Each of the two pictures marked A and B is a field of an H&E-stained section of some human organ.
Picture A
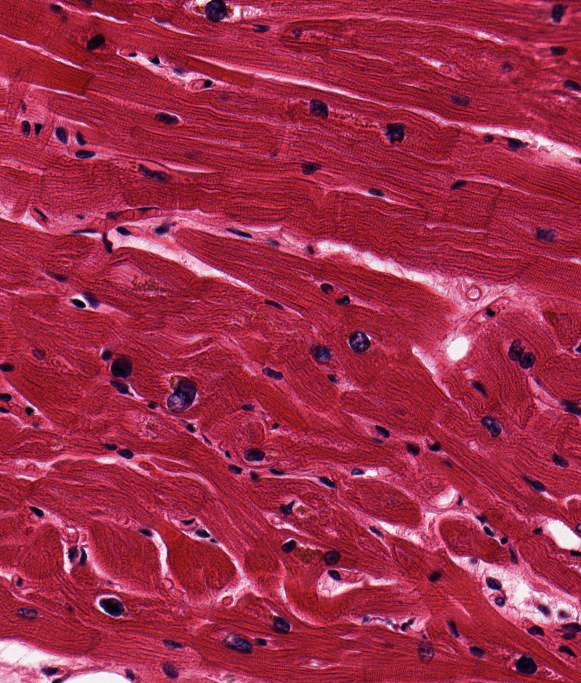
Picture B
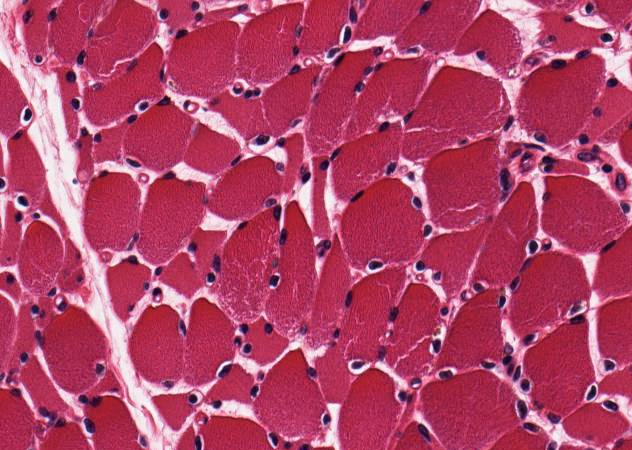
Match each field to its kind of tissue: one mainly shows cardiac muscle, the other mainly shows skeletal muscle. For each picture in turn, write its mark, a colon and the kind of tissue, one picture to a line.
A: cardiac muscle
B: skeletal muscle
